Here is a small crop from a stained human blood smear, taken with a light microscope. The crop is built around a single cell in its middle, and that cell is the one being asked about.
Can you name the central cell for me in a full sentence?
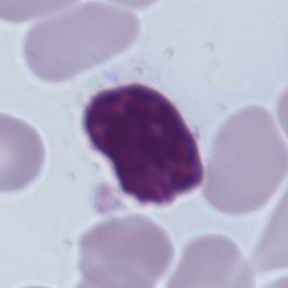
In this smear crop, the middle cell is a smudge cell.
